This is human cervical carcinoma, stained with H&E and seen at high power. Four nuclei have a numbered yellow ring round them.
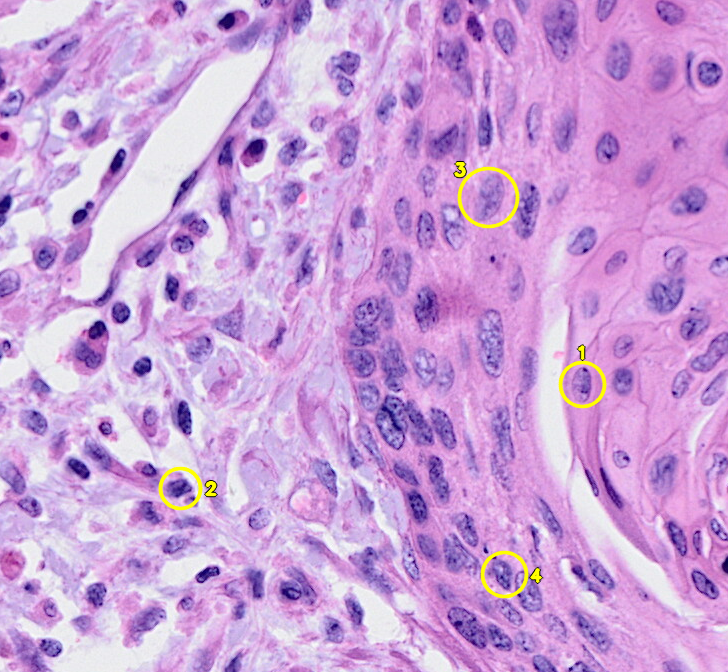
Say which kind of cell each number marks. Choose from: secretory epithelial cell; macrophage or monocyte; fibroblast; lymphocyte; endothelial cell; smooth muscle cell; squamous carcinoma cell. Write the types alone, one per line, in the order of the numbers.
squamous carcinoma cell
lymphocyte
squamous carcinoma cell
squamous carcinoma cell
